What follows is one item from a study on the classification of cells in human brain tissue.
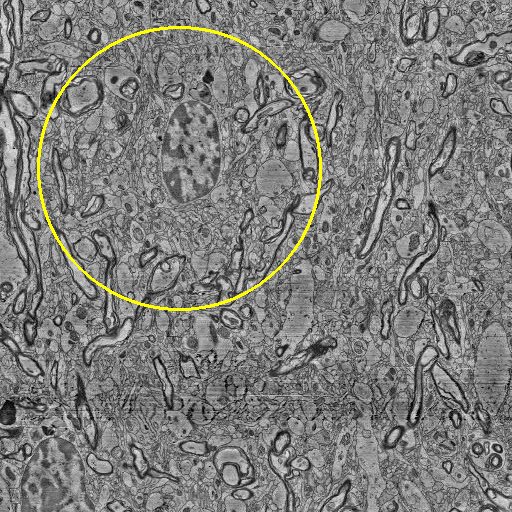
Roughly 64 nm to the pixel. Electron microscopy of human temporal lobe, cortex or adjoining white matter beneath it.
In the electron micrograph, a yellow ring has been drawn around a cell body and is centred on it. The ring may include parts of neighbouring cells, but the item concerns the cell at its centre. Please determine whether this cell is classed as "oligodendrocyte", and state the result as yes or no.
no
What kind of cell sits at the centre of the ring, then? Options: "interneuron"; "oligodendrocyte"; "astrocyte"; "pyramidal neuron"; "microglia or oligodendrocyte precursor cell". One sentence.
This picture has a microglial cell or oligodendrocyte precursor cell at the centre of its ring.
